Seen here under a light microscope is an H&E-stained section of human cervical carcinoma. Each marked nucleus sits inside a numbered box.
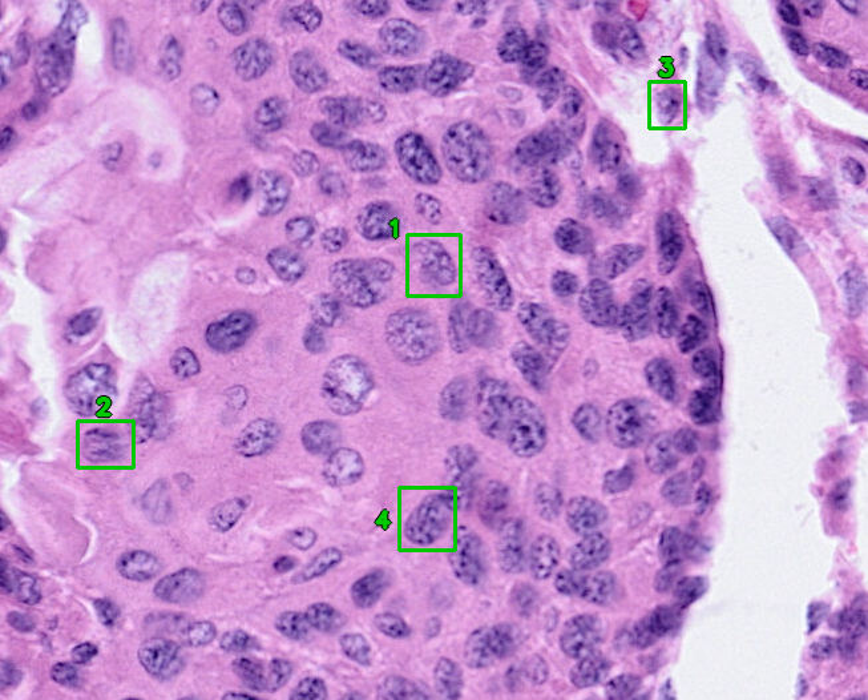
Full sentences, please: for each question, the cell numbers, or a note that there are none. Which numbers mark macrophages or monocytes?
Only the cell numbered 3 is a macrophage or monocyte; none of the others is.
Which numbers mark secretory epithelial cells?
Of the numbered cells, none are secretory epithelial cells.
